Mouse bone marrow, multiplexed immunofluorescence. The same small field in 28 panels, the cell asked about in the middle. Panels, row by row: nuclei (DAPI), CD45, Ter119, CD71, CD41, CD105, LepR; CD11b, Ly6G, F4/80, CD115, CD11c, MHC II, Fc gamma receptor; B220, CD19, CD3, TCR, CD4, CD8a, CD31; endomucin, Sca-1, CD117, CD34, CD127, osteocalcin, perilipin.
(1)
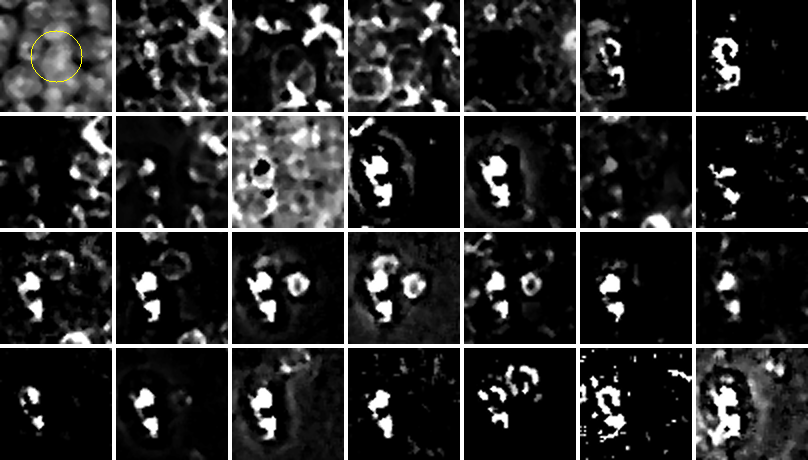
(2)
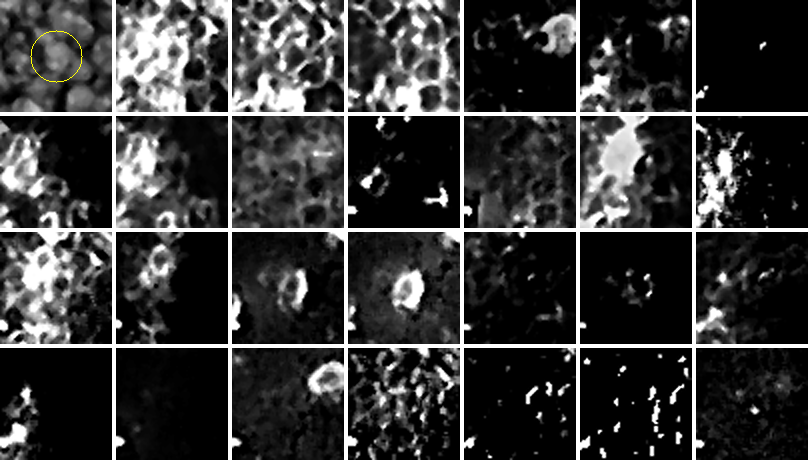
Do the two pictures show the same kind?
Yes, both are double-negative T cells.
